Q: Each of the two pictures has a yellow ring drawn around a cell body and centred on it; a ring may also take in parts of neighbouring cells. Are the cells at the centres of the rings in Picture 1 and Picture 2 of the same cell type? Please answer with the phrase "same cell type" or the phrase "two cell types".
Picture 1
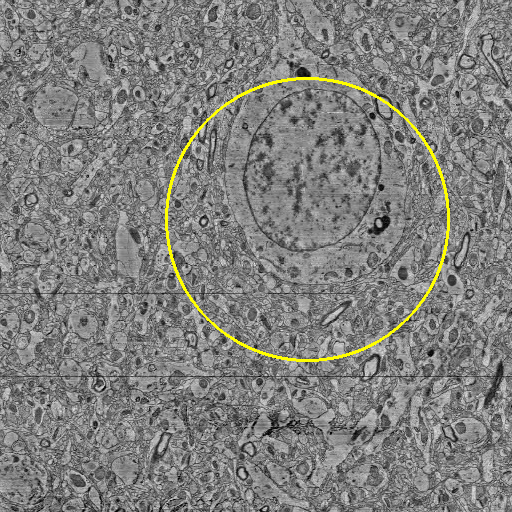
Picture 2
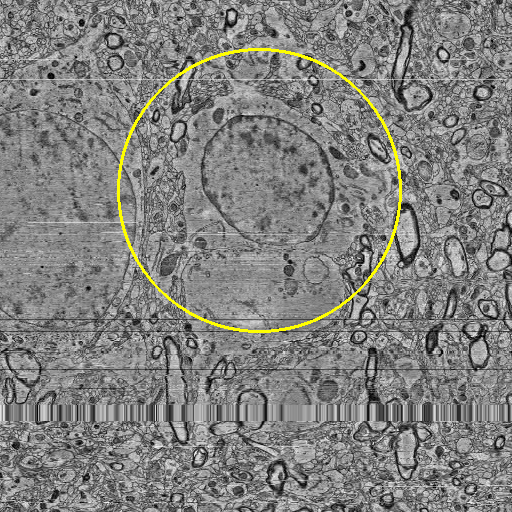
two cell types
